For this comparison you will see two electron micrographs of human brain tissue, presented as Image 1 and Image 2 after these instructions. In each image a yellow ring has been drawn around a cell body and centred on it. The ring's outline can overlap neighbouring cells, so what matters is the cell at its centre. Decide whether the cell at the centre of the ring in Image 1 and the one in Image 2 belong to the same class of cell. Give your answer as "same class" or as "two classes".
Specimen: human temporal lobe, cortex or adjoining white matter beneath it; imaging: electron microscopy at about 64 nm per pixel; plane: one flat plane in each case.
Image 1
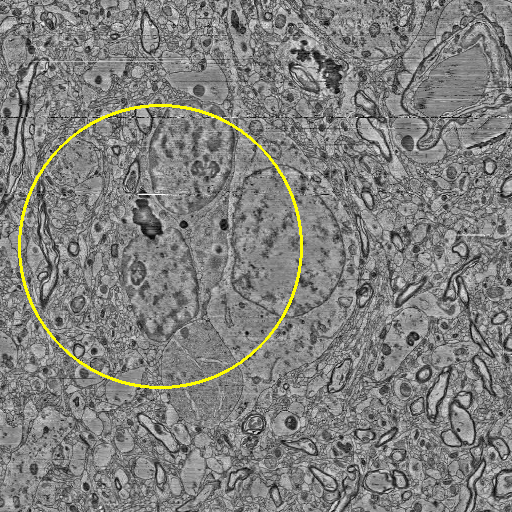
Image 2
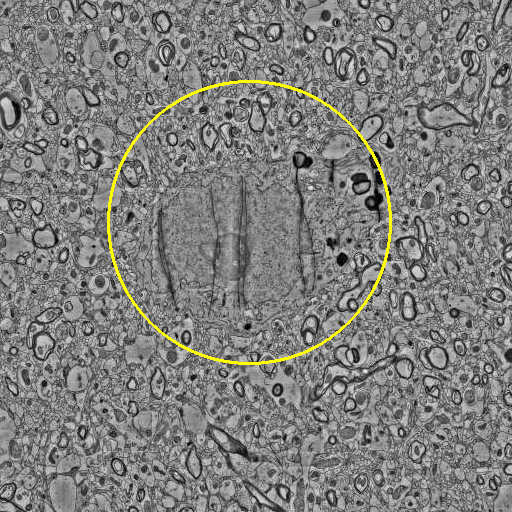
two classes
